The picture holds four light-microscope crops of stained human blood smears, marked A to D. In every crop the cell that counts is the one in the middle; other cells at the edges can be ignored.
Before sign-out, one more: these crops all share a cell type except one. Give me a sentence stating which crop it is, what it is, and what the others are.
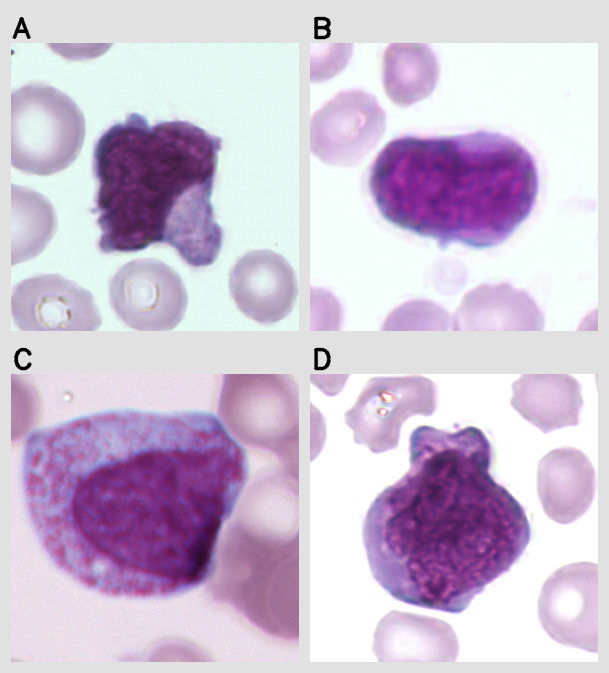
Crop C is a myelocyte, while the rest of the set consists of atypical promyelocytes.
